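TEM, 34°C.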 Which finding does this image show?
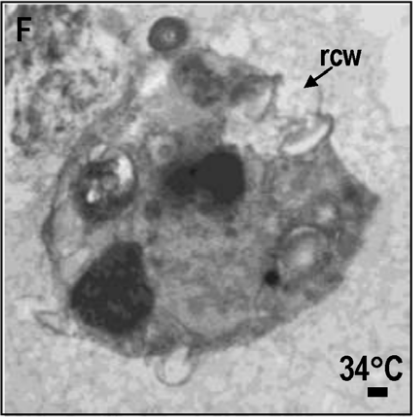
Necrosis.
